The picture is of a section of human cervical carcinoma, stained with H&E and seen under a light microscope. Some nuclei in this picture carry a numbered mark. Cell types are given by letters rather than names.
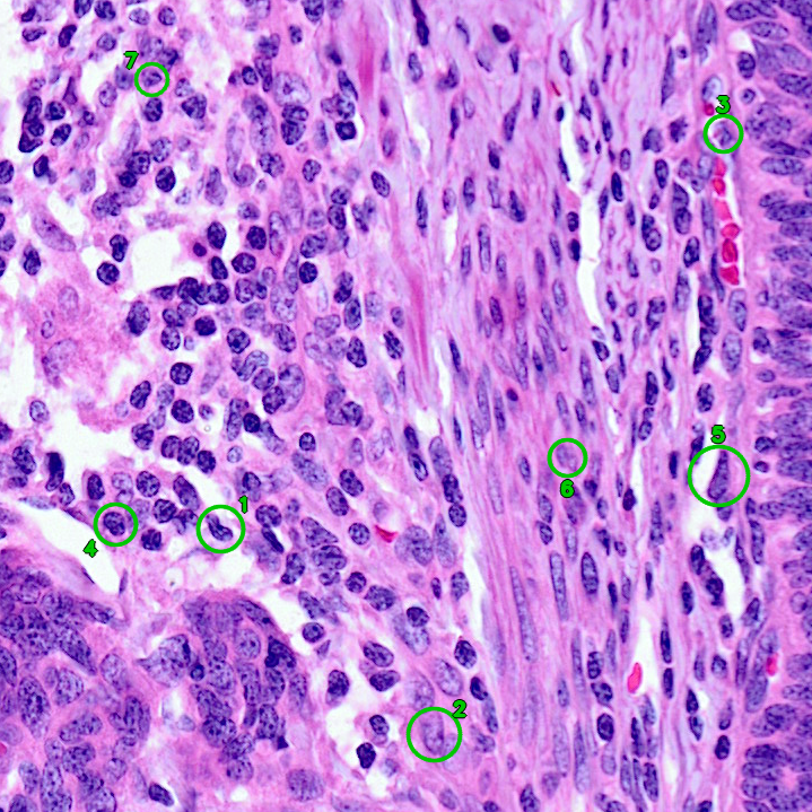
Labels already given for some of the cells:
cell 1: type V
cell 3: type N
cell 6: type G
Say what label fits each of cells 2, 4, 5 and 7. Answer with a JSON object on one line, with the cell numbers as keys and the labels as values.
{"2": "type N", "4": "type V", "5": "type N", "7": "type V"}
